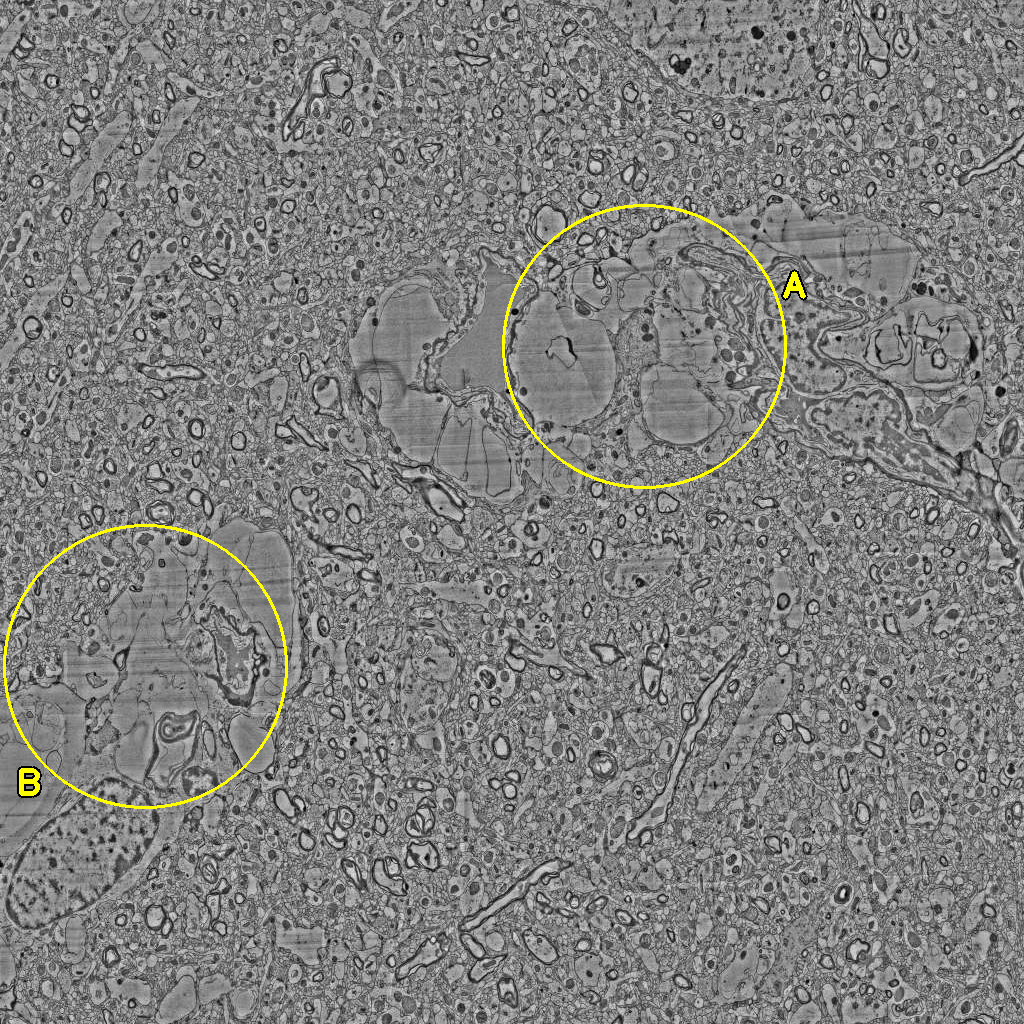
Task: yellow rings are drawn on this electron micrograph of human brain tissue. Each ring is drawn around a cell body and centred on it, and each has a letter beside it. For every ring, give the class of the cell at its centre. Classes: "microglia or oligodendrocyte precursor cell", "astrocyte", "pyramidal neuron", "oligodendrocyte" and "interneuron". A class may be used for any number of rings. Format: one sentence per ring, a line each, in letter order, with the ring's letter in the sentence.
The cell ringed as A is an oligodendrocyte.
The cell ringed as B is an oligodendrocyte.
